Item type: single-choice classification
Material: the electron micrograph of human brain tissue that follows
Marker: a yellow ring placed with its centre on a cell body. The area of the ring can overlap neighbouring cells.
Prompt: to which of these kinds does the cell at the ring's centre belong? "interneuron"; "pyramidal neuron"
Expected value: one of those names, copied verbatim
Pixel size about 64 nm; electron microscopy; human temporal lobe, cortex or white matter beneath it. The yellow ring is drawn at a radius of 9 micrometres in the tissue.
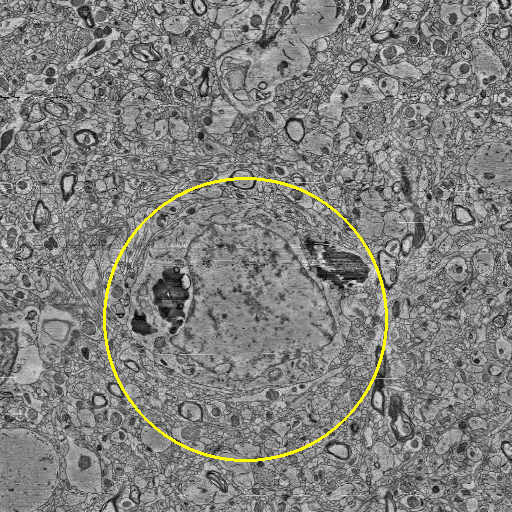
interneuron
